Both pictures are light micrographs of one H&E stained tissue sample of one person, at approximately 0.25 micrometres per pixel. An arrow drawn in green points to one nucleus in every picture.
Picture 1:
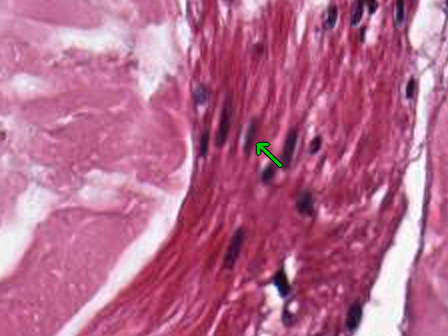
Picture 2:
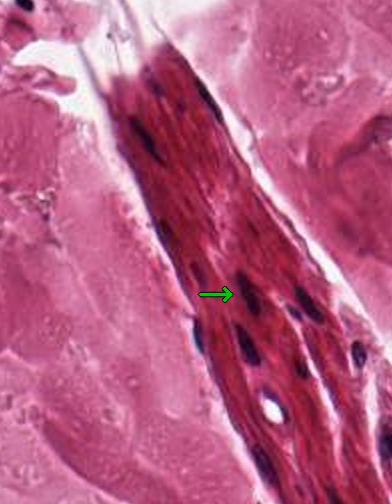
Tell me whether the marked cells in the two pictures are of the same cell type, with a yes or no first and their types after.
Yes, both are smooth muscle cells.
